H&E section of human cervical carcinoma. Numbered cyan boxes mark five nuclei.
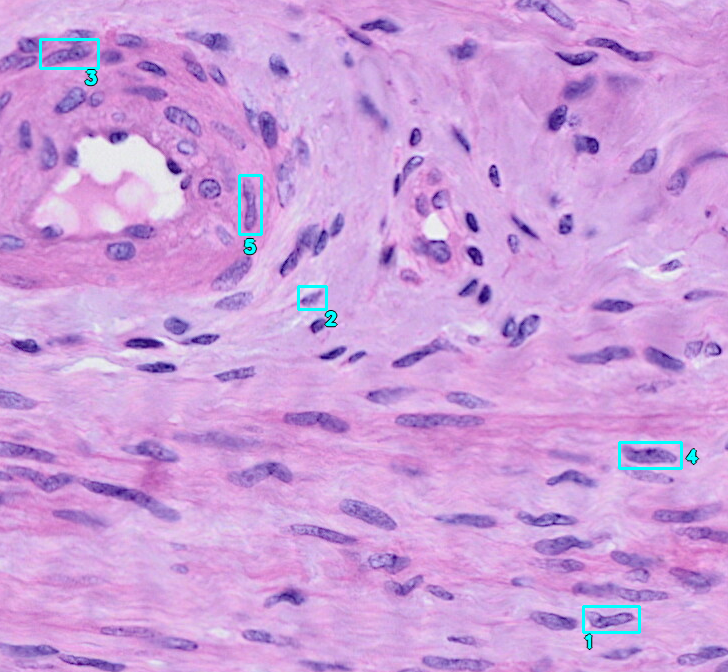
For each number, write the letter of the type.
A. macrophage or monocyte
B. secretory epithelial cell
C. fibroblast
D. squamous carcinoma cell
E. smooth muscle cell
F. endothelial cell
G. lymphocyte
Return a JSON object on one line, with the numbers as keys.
{"1": "C", "2": "C", "3": "E", "4": "C", "5": "E"}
